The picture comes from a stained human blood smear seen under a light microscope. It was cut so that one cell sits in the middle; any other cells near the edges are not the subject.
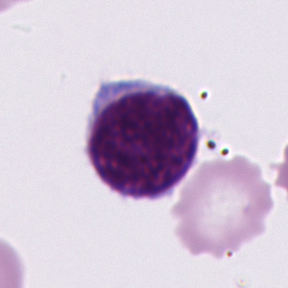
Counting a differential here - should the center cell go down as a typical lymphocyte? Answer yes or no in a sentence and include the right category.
Yes, the cell at the middle of the field is to be classed as a typical lymphocyte.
